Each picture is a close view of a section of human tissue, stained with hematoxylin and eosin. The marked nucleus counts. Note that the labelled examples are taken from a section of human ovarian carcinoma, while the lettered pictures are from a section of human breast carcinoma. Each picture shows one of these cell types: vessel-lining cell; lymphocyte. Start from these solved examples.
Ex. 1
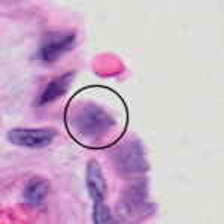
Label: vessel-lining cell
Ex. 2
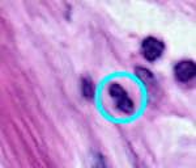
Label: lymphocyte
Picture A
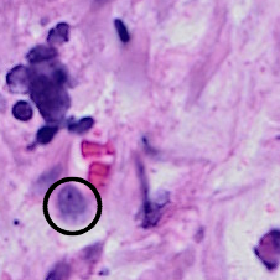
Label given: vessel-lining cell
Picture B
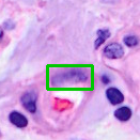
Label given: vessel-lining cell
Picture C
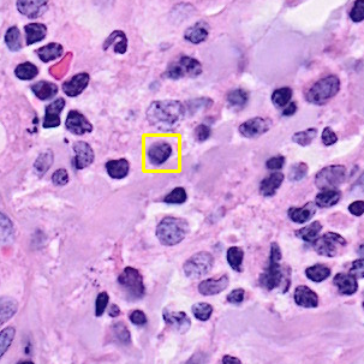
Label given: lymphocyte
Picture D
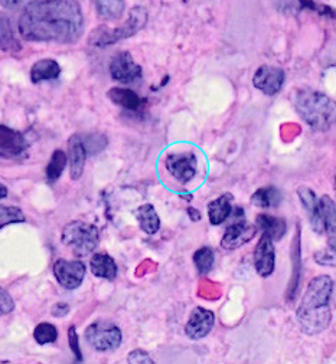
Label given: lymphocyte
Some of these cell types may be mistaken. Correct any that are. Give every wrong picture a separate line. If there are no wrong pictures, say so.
None of the labels needs changing.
